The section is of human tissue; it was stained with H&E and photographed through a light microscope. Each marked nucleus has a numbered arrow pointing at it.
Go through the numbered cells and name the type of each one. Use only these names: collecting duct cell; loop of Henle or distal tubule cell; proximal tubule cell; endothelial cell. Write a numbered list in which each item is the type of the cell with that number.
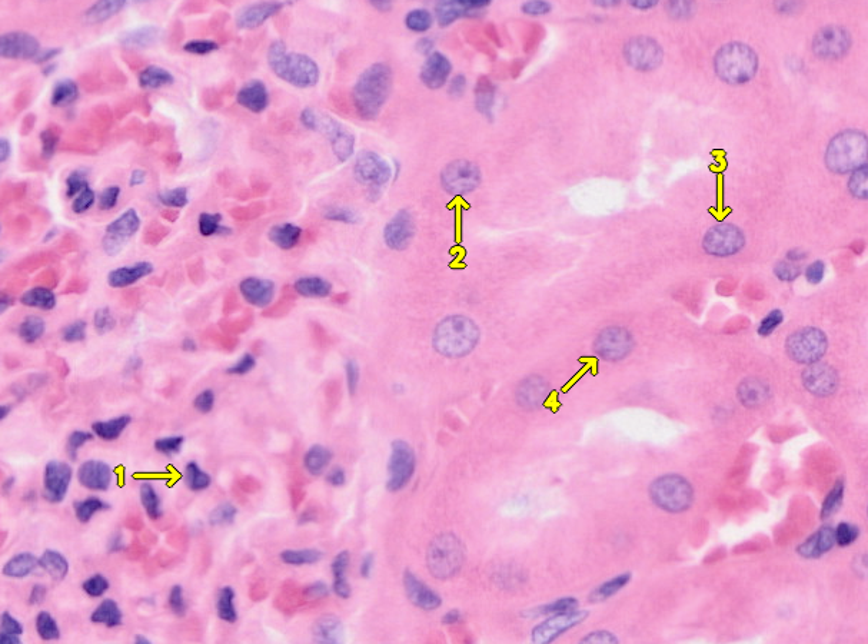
1. endothelial cell
2. proximal tubule cell
3. proximal tubule cell
4. proximal tubule cell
